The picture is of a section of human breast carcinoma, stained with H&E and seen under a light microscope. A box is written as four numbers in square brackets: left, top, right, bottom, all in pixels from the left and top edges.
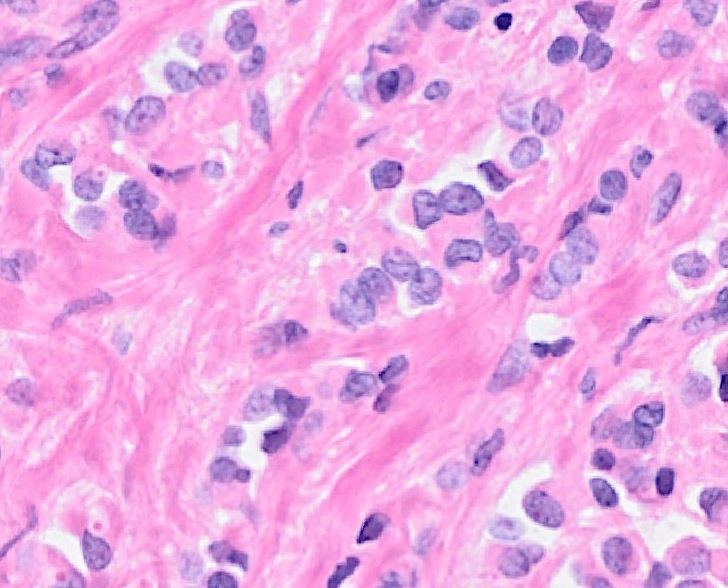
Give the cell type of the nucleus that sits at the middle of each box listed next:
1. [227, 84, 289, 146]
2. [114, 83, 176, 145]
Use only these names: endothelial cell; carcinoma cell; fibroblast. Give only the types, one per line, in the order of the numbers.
fibroblast
carcinoma cell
